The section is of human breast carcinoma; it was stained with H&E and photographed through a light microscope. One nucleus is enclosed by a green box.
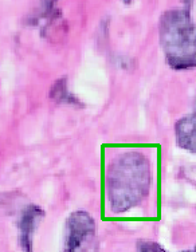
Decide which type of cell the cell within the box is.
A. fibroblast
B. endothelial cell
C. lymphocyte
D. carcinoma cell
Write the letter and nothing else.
D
